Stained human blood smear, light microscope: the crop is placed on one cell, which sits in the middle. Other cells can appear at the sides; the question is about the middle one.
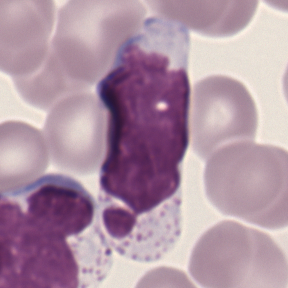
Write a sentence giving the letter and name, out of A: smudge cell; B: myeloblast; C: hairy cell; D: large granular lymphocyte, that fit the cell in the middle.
The central cell in this crop is a large granular lymphocyte, corresponding to option D, the correct option.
